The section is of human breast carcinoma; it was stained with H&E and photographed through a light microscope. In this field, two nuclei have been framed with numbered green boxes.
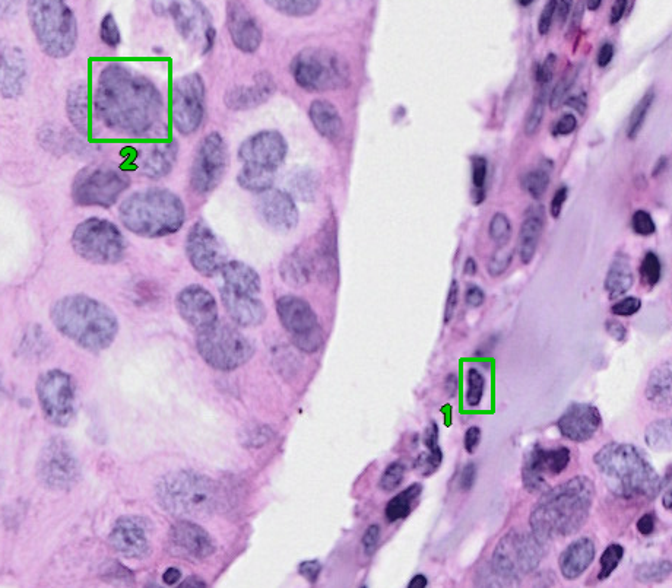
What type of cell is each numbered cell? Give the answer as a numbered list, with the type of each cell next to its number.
1. lymphocyte
2. carcinoma cell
